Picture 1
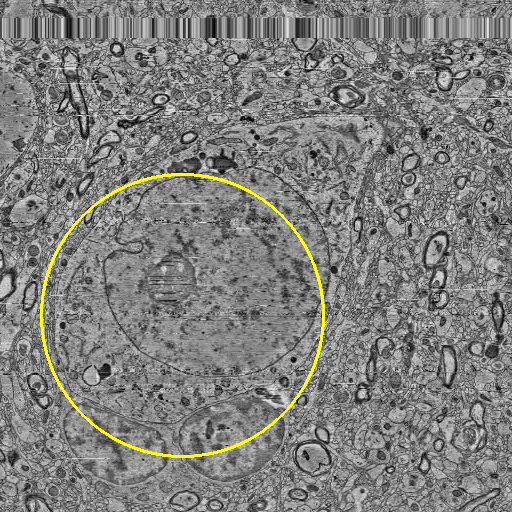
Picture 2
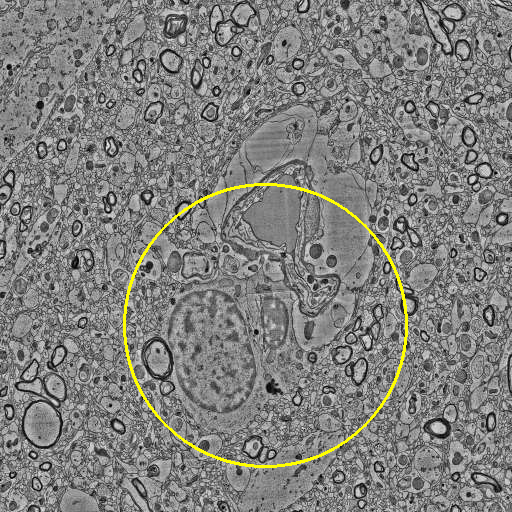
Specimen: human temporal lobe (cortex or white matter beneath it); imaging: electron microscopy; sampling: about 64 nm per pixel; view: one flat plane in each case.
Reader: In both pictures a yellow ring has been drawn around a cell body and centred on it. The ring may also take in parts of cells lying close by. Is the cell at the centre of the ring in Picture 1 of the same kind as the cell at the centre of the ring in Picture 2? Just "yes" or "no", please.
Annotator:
no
